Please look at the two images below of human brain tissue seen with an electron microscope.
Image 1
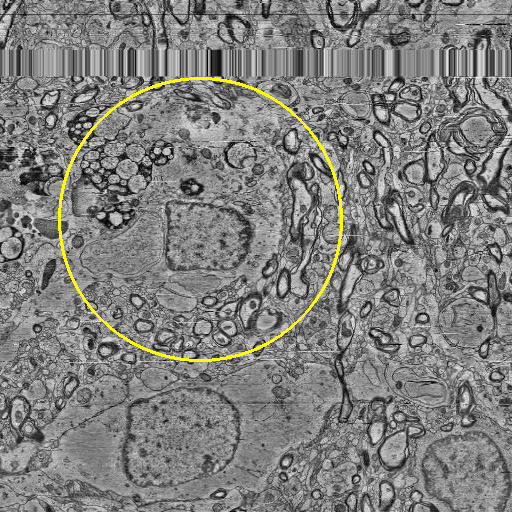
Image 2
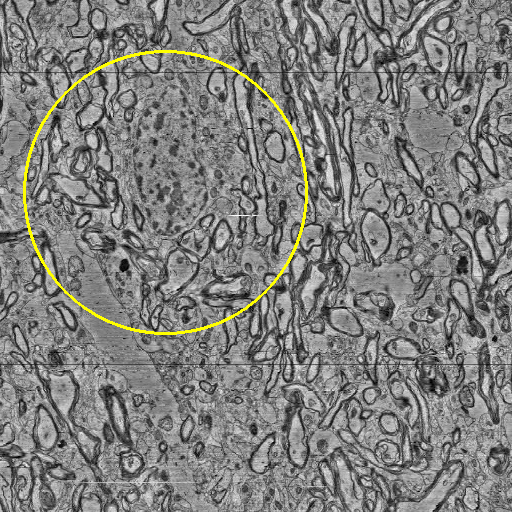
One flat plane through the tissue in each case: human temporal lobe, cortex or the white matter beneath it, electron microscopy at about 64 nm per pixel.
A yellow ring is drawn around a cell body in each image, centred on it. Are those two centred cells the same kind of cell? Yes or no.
yes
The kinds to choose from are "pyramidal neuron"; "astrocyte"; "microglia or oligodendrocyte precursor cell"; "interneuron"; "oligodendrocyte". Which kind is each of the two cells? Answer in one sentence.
The first and the second cell are each an astrocyte.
